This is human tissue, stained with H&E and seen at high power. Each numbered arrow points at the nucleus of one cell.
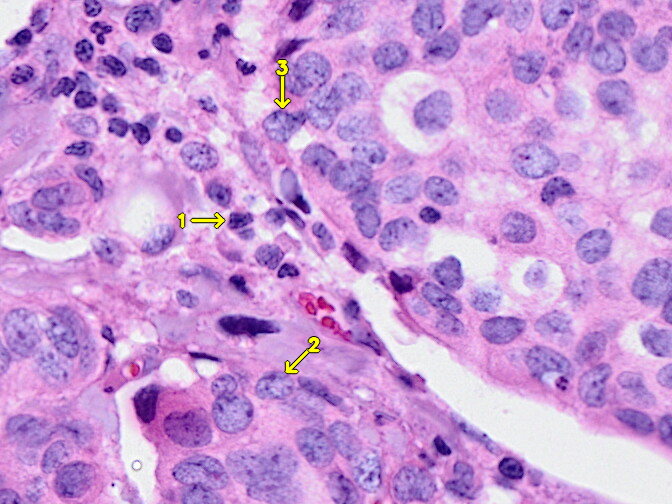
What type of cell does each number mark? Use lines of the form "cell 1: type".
cell 1: lymphocyte
cell 2: carcinoma cell
cell 3: carcinoma cell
